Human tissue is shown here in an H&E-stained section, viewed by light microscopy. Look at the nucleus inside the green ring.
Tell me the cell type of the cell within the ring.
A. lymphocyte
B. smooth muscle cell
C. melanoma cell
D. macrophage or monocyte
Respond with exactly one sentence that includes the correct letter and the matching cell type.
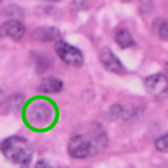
Option C correctly labels the cell within the ring as a melanoma cell.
